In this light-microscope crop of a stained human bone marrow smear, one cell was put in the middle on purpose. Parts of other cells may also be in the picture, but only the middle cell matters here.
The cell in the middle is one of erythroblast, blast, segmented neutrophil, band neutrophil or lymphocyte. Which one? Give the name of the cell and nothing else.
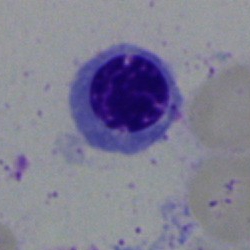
erythroblast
